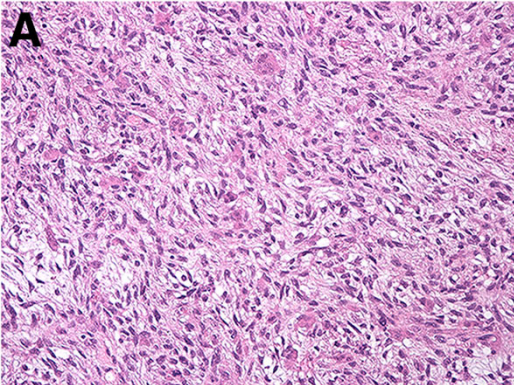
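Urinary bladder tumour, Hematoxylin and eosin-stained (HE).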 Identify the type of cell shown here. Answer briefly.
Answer: osteoclast-like giant cells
